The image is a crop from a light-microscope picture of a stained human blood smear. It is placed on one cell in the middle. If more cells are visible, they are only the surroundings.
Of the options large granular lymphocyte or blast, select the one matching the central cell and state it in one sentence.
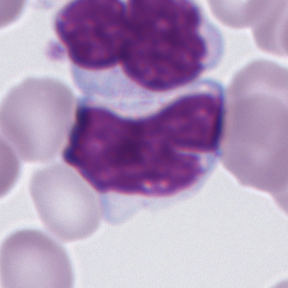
Of the cells in this crop, the central one is a large granular lymphocyte.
